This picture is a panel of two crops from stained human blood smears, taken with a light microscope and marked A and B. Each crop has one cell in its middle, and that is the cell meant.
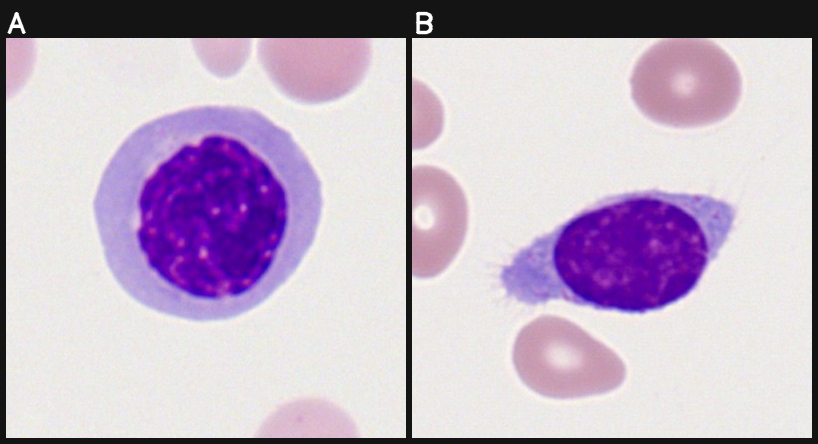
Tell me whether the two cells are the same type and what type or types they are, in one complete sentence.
No, a lymphocyte is depicted in crop B, whereas an erythroblast is depicted in crop A.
